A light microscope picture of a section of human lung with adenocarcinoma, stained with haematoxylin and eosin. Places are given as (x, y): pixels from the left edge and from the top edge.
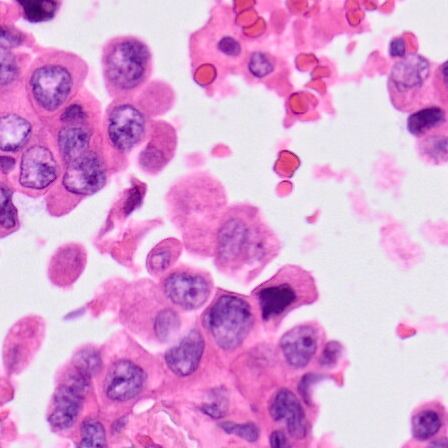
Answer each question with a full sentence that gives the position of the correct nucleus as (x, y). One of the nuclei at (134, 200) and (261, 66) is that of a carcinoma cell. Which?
The nucleus that belongs to a carcinoma cell sits at (134, 200).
